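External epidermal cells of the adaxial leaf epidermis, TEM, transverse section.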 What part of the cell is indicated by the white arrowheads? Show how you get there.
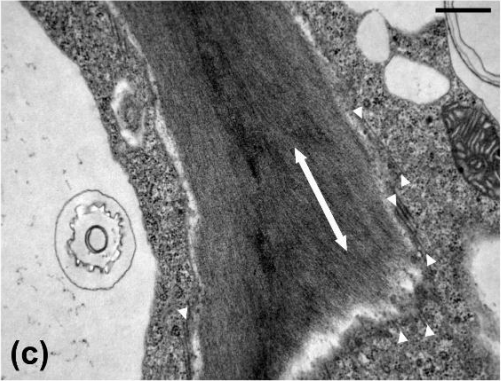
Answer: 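Arrowheads point to thin straight dark lines in the cytoplasm just beside the wall. The lines run parallel to the wall surface. The answer: Cortical microtubules.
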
